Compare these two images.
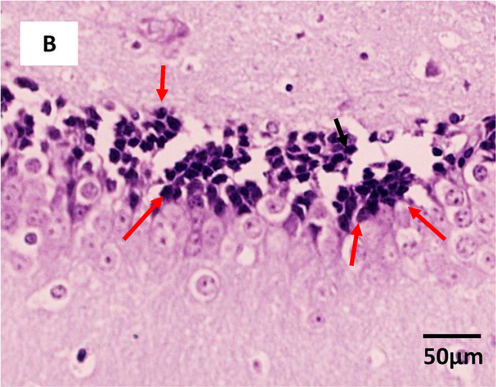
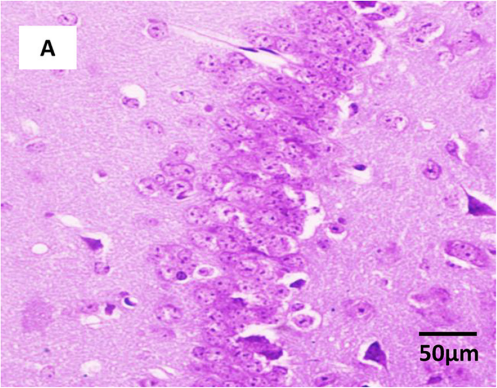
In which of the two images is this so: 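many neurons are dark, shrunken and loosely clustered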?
The first image.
